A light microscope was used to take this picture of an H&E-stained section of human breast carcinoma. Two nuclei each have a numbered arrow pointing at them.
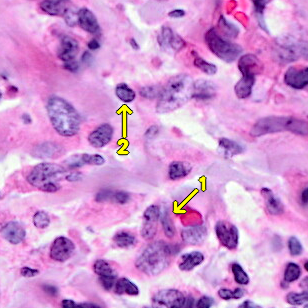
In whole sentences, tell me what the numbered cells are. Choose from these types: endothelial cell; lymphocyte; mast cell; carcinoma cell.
Cell 1 is an endothelial cell and cell 2 is a lymphocyte.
